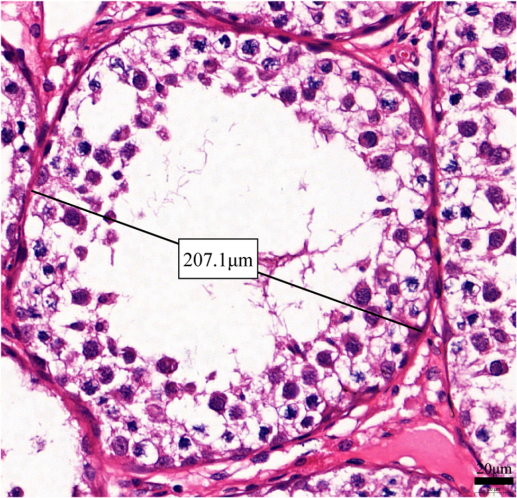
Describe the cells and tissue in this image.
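A seminiferous tubule of the testis is seen in cross-section, with a broad lumen that holds a few thin pink strands. The spermatogenic epithelium forms several layers of rounded cells around it, with purple nuclei, many showing clumped chromatin. The cytoplasm of these cells is pale and looks partly vacuolated, giving the epithelium a loose, lacy look. A thin pink boundary with flattened nuclei separates this tubule from the closely packed neighbouring tubules on either side.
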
